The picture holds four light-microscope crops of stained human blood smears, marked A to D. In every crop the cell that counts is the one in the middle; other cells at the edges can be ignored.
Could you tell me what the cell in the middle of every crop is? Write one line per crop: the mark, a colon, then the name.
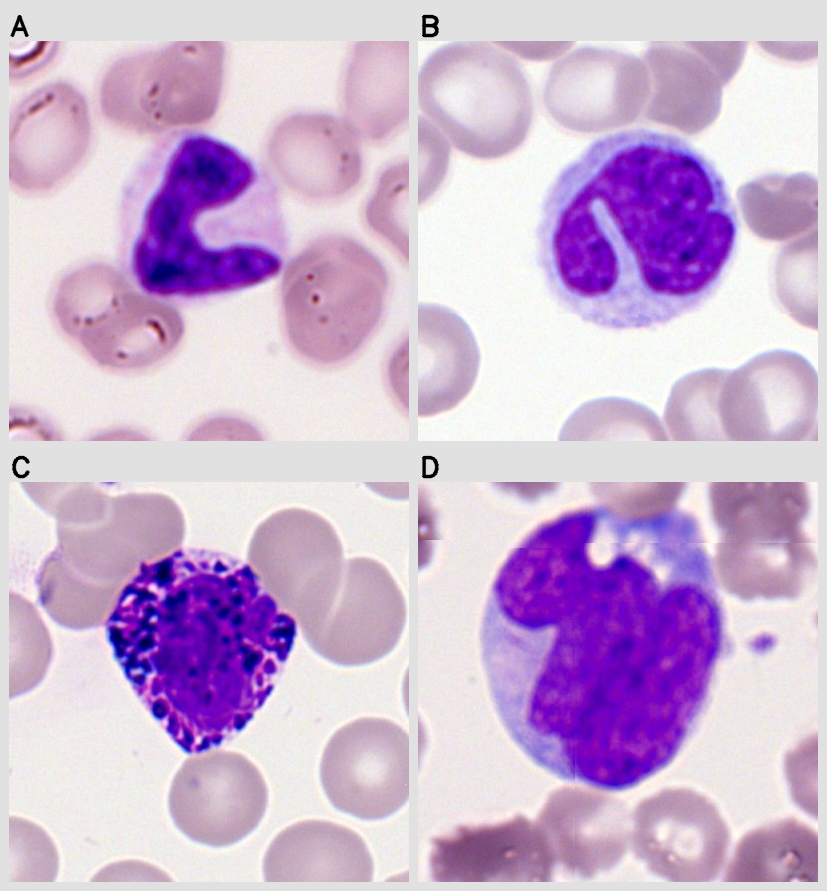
A: band neutrophil
B: monocyte
C: basophil
D: monocyte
